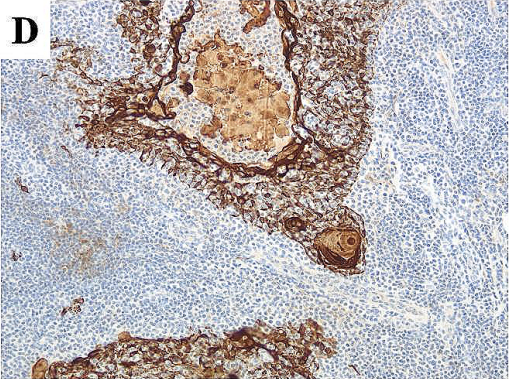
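A brown-stained meshwork of epithelial cells runs as a band across the upper field, its strands wrapping around small unstained round cells with blue nuclei, and enclosing a rounded nest of brown epithelial cells. Below, a small concentric brown whorl resembles a Hassall's corpuscle. The pattern of epithelium intimately infiltrated by lymphocytes marks lymphoepithelial lesions of the thymic epithelium.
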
